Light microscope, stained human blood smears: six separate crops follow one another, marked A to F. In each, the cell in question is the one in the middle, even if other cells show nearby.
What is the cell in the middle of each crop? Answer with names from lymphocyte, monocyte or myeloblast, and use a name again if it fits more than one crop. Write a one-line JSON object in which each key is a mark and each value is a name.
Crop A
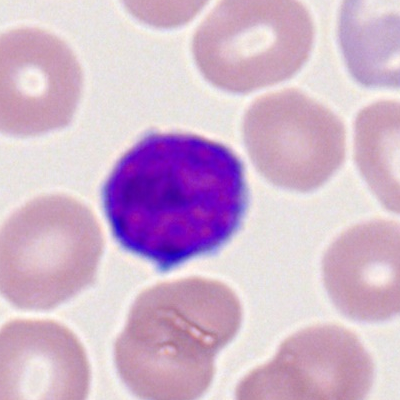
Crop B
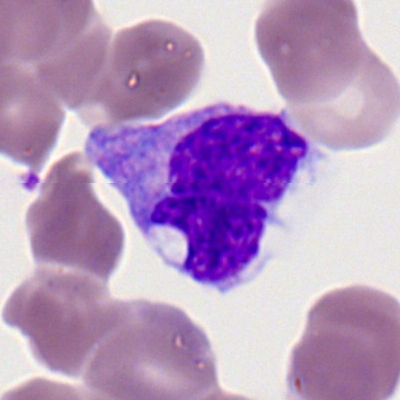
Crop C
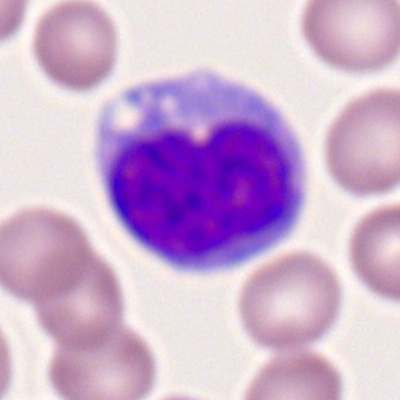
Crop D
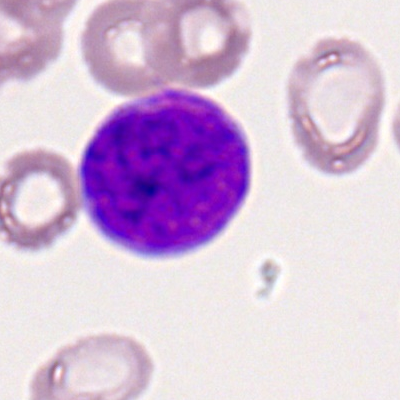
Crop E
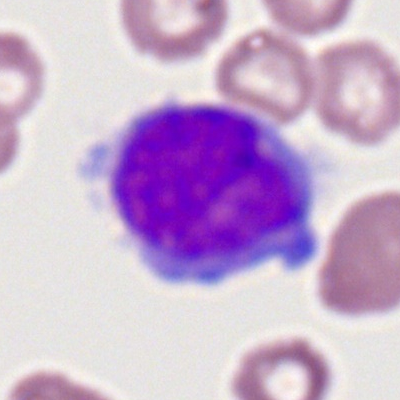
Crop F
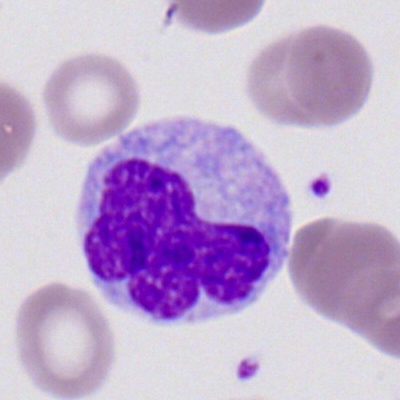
{"A": "lymphocyte", "B": "monocyte", "C": "monocyte", "D": "myeloblast", "E": "monocyte", "F": "monocyte"}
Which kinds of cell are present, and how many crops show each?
monocyte: 4
lymphocyte: 1
myeloblast: 1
